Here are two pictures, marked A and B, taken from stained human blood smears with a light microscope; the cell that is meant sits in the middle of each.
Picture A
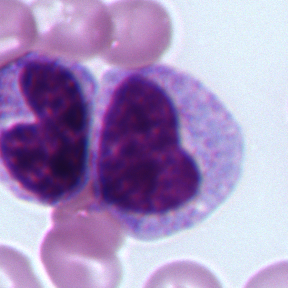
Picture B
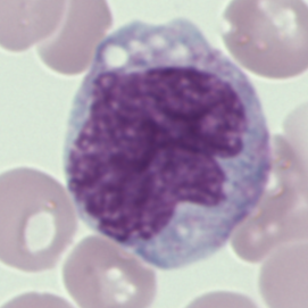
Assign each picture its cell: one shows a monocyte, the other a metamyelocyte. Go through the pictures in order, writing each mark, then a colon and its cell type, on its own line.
A: metamyelocyte
B: monocyte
